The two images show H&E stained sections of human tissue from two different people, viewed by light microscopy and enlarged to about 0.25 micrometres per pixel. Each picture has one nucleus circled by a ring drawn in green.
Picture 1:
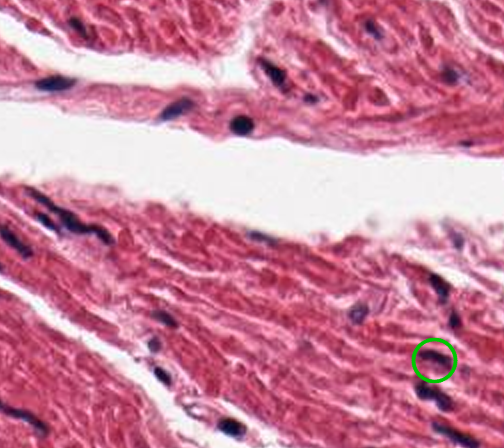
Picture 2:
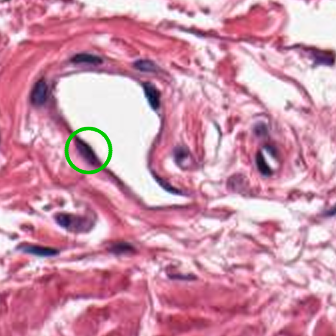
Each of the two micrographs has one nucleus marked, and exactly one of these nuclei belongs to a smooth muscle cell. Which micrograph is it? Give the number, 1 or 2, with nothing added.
1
